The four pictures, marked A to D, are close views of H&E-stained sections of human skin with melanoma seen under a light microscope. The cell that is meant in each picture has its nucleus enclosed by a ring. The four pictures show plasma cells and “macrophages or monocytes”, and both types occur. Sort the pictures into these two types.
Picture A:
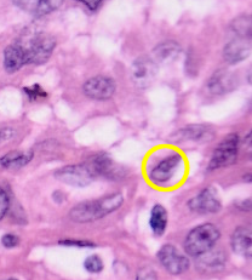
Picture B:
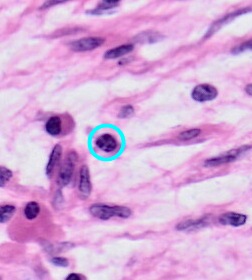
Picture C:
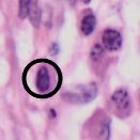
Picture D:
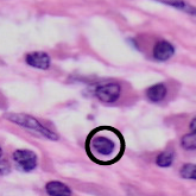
A: macrophage or monocyte
B: plasma cell
C: plasma cell
D: plasma cell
